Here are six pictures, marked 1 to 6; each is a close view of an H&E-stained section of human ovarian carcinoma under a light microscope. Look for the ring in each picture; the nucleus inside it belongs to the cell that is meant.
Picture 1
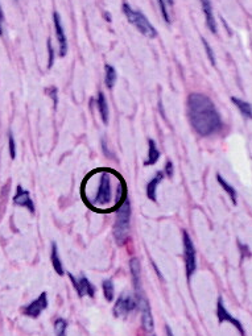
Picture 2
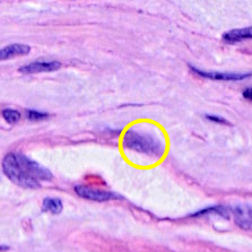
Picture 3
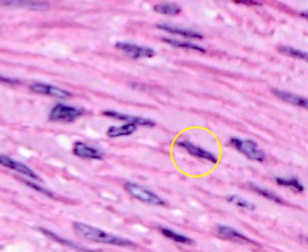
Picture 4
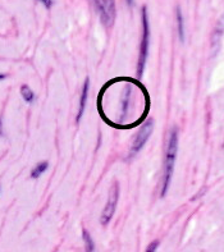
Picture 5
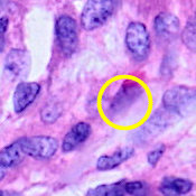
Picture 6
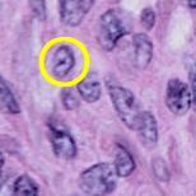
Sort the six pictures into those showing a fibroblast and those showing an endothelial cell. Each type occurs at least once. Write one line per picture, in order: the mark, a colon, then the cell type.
1: fibroblast
2: endothelial cell
3: fibroblast
4: fibroblast
5: endothelial cell
6: fibroblast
